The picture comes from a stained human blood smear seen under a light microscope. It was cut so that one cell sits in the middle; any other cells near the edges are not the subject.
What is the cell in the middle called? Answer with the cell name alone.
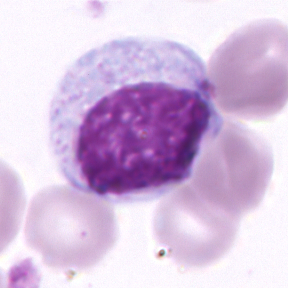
myelocyte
